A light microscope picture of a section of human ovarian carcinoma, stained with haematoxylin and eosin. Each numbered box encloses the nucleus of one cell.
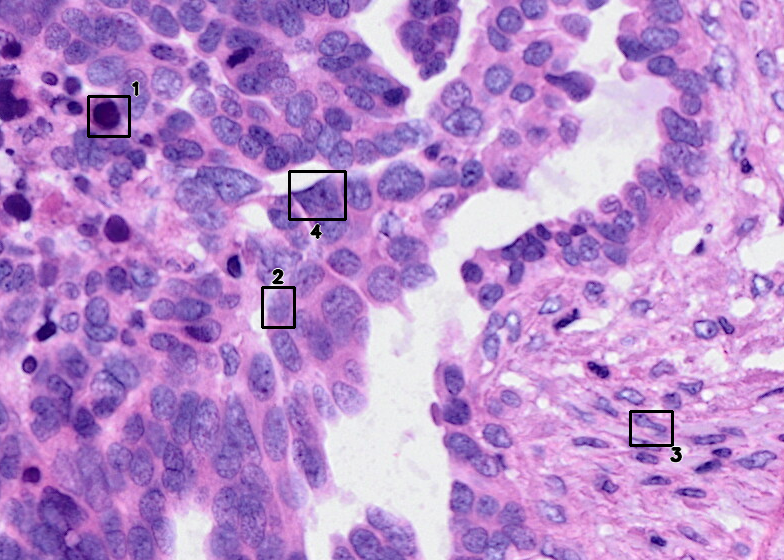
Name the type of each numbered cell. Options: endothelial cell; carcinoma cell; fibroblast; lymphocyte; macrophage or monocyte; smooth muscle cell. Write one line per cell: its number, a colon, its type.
1: carcinoma cell
2: carcinoma cell
3: fibroblast
4: carcinoma cell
